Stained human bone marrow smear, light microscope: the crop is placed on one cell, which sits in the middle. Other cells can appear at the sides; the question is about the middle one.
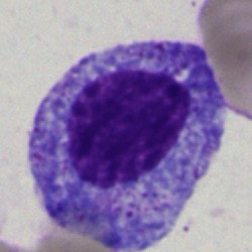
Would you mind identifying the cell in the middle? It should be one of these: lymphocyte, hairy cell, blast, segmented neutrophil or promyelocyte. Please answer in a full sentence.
In the crop, the cell of interest at the centre is a promyelocyte.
